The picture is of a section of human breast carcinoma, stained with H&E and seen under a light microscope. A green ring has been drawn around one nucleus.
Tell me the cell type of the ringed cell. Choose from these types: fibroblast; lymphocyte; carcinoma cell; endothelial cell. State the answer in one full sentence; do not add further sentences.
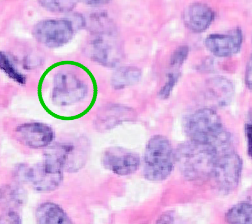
As far as its identity is concerned, the ringed cell is a carcinoma cell.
